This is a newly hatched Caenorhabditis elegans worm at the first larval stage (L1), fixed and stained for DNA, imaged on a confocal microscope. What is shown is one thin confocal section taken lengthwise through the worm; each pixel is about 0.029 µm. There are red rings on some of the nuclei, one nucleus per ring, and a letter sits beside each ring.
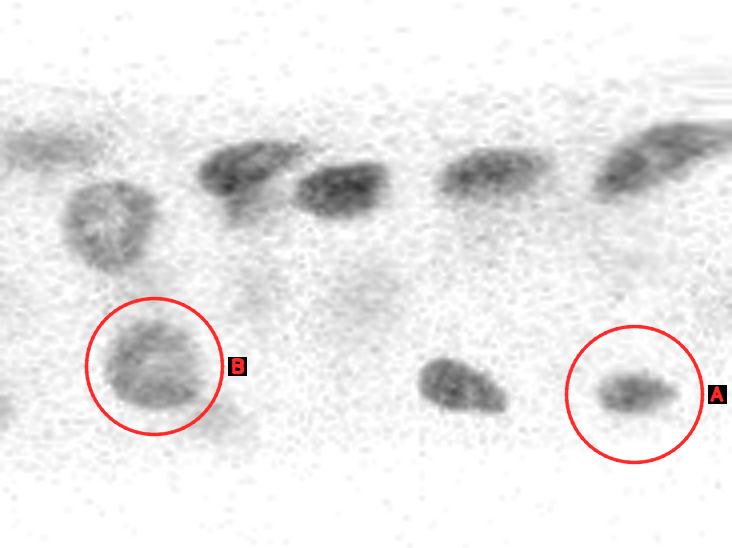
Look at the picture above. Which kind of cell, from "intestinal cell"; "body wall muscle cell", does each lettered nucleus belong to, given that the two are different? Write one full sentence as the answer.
One is from a body wall muscle cell, namely A, and the other, B, is from an intestinal cell.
